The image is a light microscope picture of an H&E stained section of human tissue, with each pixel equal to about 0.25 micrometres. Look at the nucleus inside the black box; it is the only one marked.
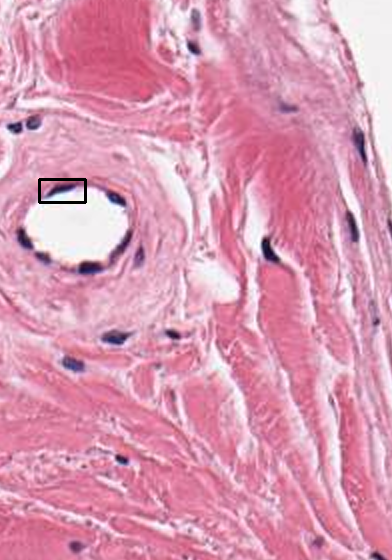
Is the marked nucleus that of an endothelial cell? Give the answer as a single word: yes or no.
yes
